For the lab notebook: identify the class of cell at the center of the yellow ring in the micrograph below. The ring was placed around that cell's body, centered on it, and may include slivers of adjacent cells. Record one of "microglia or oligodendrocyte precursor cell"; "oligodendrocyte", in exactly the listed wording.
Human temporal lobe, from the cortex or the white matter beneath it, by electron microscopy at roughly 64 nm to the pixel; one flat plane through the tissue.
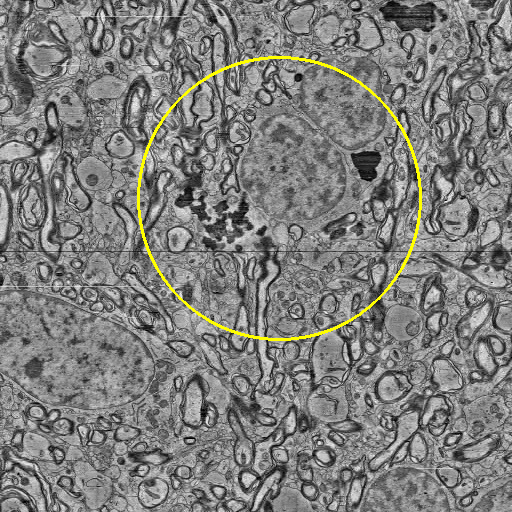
oligodendrocyte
